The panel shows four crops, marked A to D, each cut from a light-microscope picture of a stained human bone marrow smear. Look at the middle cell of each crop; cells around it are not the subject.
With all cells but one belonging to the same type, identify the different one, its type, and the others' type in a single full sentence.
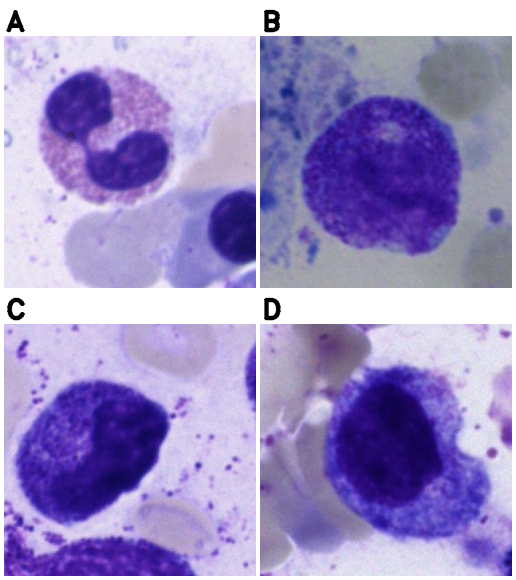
In this set the other crops all show promyelocytes, and crop A shows an eosinophil.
